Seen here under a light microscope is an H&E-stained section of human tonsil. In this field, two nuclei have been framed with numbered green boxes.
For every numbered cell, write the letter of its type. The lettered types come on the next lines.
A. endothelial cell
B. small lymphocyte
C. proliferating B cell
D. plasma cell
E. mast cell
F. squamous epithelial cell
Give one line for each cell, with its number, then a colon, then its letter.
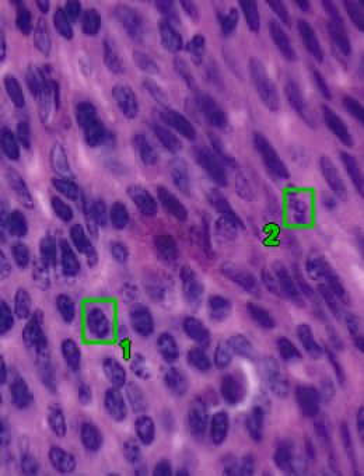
1: D
2: F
